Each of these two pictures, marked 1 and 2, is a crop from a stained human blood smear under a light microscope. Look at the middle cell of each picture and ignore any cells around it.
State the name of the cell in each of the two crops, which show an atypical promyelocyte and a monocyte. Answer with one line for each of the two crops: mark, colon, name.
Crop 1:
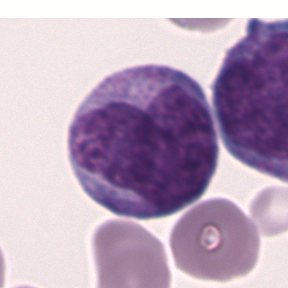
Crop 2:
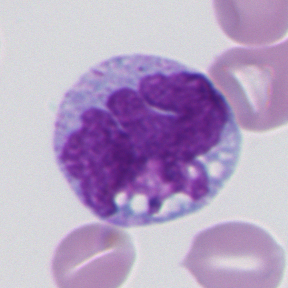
1: atypical promyelocyte
2: monocyte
